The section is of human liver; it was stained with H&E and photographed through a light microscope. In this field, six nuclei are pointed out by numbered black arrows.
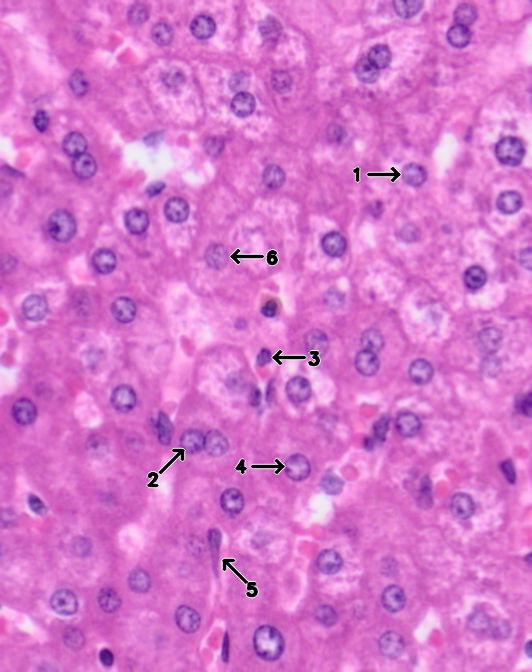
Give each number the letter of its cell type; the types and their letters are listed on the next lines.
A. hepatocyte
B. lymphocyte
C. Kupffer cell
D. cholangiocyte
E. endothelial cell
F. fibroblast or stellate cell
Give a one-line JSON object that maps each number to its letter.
{"1": "A", "2": "A", "3": "B", "4": "A", "5": "C", "6": "A"}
